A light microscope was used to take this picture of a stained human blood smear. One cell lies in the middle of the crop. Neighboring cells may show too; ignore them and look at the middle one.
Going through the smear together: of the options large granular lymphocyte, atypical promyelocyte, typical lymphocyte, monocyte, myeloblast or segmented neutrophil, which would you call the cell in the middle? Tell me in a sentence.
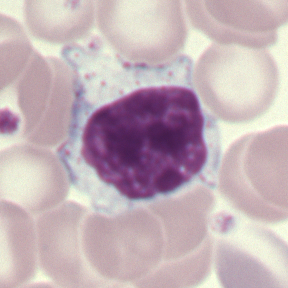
The crop centres on a single cell, and that cell is a large granular lymphocyte.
